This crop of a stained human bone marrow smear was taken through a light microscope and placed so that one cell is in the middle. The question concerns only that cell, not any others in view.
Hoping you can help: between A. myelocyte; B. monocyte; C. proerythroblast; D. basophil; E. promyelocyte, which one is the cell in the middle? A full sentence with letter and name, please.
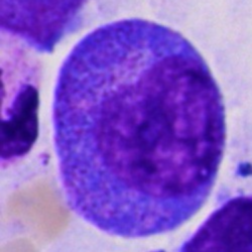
Option E, which names the central cell as a promyelocyte, is correct.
